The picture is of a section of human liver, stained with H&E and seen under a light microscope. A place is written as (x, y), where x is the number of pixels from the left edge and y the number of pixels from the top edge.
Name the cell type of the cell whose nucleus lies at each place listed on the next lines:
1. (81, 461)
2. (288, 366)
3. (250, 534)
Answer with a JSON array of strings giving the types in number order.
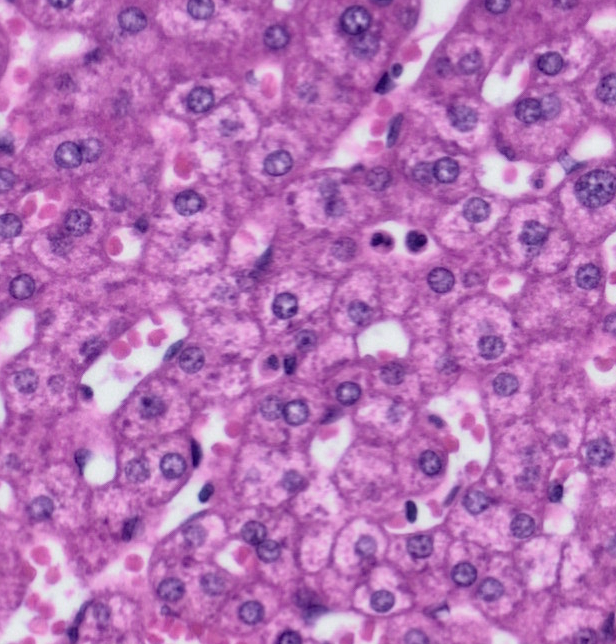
["endothelial cell", "fibroblast or stellate cell", "hepatocyte"]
